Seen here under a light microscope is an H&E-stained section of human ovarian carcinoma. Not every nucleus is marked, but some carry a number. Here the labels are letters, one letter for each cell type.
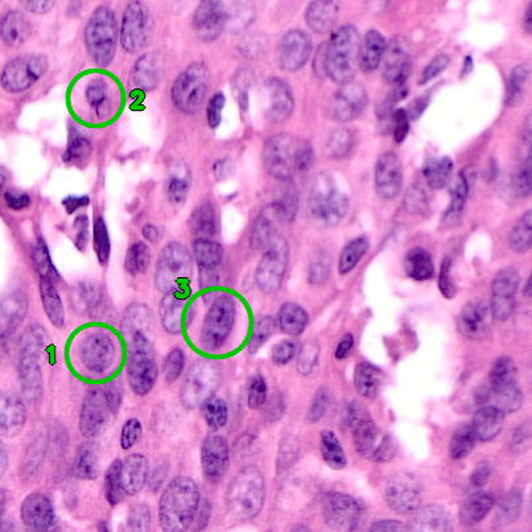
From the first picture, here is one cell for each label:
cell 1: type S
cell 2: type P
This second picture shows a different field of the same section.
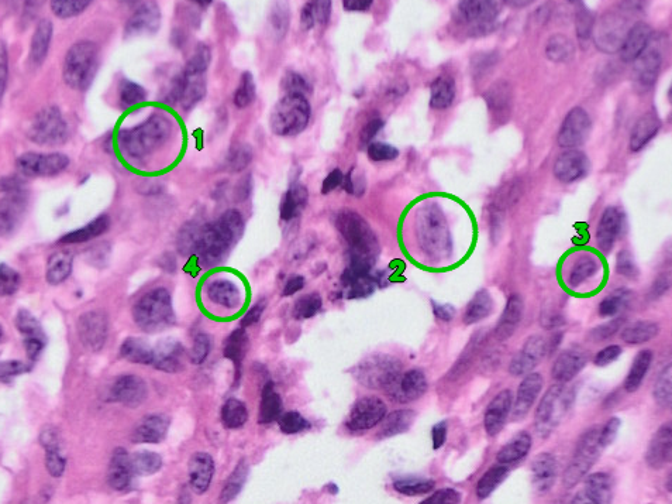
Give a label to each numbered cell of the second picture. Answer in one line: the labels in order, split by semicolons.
type S; type P; type P; type P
